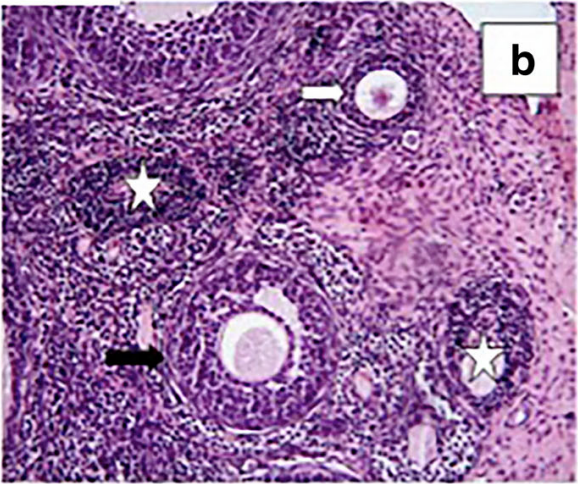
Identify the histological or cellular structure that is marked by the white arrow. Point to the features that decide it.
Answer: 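A round oocyte with pale cytoplasm.
Multilaminary primary follicle.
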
